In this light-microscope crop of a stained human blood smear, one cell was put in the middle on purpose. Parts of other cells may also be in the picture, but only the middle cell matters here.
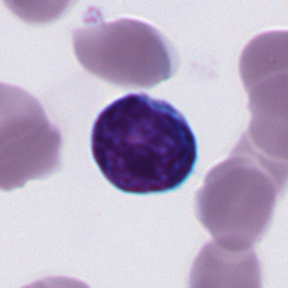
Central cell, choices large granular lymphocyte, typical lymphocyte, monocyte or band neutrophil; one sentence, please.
The cell in the exact centre of the crop is a typical lymphocyte.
